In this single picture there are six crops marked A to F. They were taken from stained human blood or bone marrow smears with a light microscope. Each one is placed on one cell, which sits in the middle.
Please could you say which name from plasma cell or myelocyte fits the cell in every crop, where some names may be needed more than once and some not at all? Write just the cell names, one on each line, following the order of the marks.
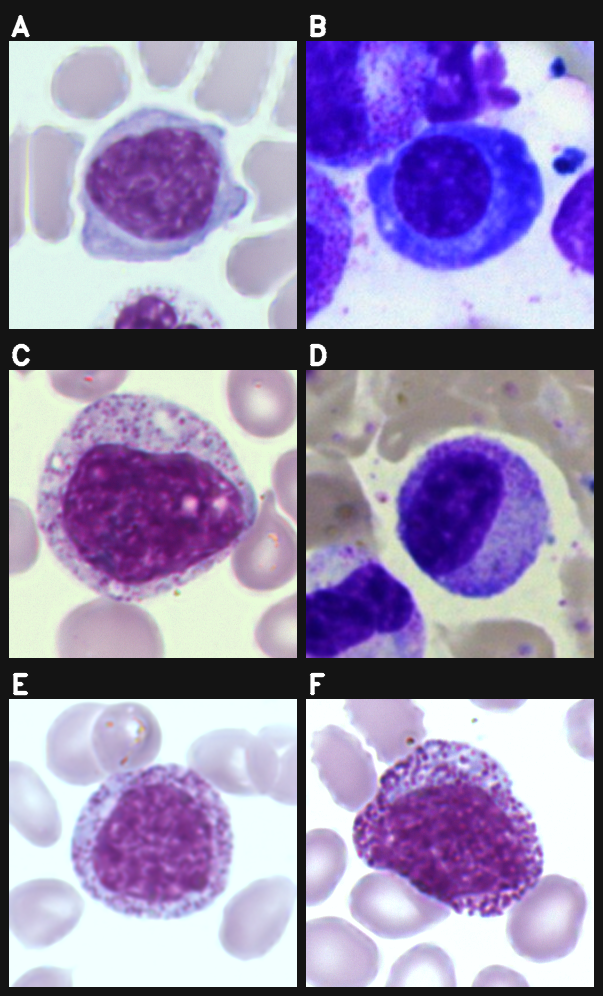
plasma cell
plasma cell
myelocyte
myelocyte
myelocyte
myelocyte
